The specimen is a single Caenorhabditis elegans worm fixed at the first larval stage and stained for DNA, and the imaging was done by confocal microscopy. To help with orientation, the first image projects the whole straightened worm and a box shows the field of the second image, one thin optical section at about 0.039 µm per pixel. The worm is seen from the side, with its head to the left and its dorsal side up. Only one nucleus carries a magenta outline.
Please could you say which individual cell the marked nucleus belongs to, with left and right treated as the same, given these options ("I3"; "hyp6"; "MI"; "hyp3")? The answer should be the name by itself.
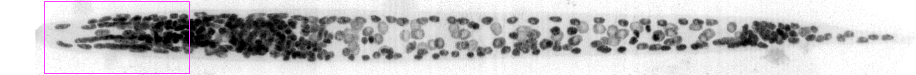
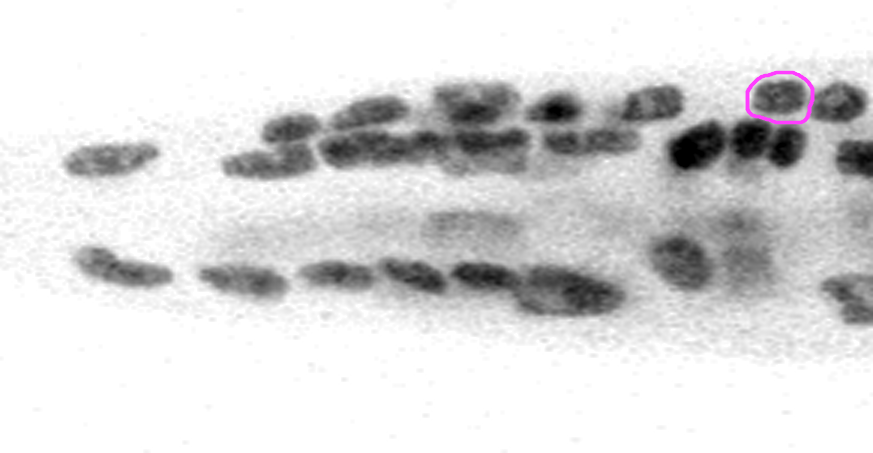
hyp6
